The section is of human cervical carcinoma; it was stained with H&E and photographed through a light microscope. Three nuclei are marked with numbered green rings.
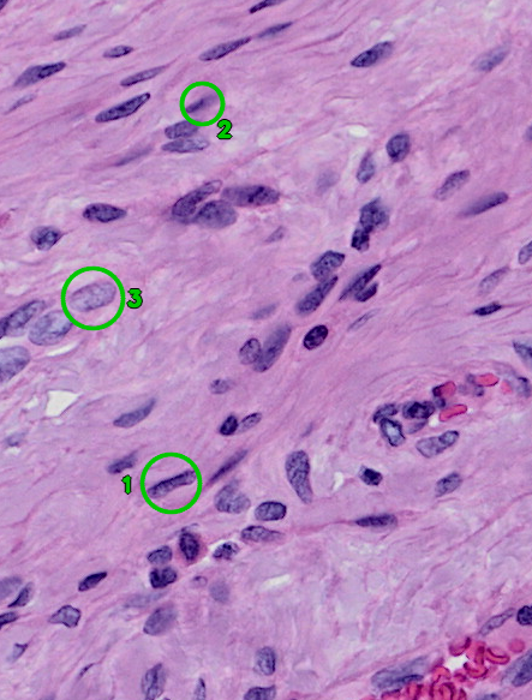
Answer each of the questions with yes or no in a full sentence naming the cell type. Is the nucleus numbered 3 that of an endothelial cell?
Yes, the cell pointed out as number 3 is an endothelial cell.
